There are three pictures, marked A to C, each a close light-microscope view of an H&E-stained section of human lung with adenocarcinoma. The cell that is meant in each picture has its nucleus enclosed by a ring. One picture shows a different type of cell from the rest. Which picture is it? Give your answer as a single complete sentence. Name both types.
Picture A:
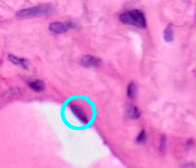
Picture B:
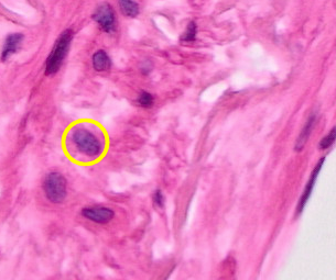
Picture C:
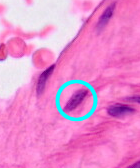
Picture A is the odd one out: it shows an endothelial cell, while the others show “smooth muscle cells or pericytes”.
